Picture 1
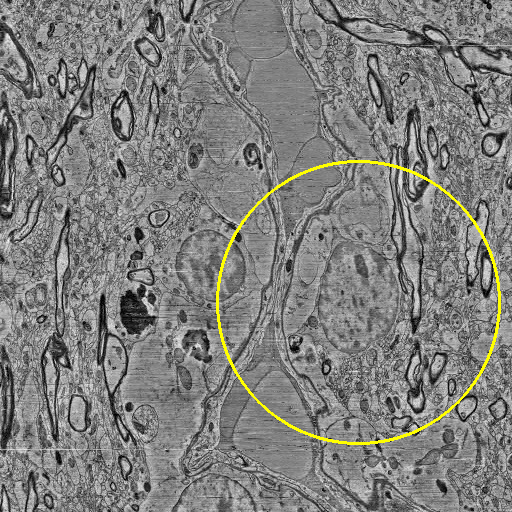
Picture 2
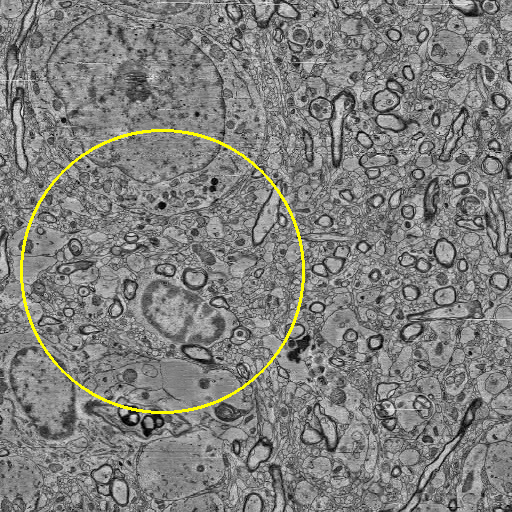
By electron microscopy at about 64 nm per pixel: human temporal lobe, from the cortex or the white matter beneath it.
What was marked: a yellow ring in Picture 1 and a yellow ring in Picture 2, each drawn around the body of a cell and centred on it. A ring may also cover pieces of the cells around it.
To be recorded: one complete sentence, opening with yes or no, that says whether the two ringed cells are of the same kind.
Yes, the two ringed cells are of the same kind.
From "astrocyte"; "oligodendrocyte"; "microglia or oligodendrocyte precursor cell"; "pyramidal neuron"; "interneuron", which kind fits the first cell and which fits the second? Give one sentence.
Both the first and the second picture show an oligodendrocyte in the ring.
